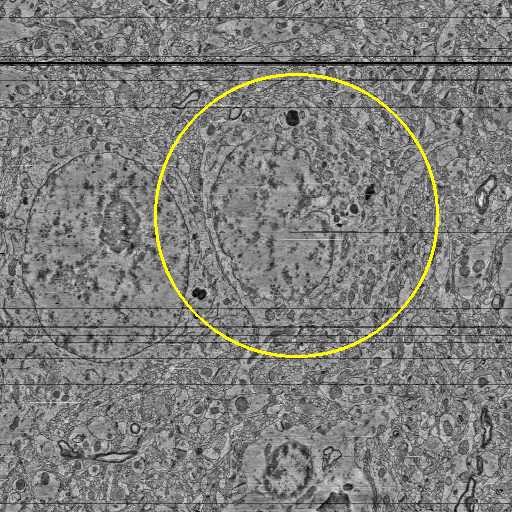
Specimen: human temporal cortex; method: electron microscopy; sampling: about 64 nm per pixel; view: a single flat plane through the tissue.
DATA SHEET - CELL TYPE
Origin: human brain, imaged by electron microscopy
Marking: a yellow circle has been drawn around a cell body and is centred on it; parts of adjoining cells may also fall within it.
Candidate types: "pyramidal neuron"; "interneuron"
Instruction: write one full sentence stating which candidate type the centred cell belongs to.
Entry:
The cell body at the centre of the yellow ring in this micrograph belongs to an interneuron.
